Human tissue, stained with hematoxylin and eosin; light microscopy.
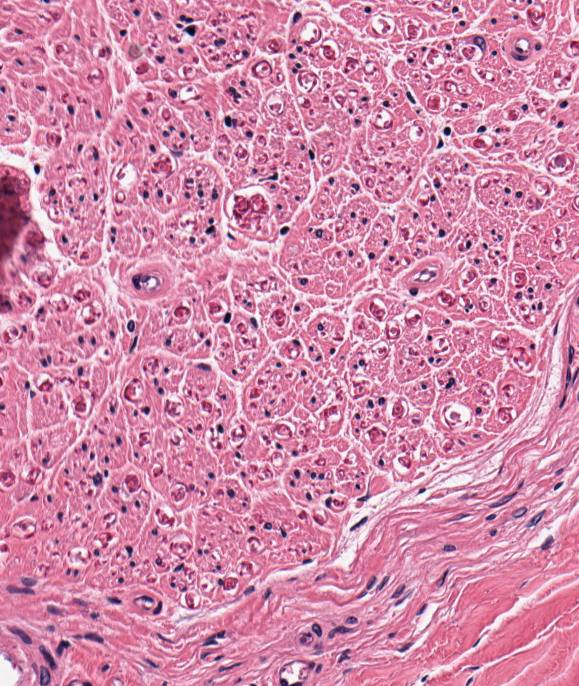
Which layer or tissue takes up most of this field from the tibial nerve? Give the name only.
nerve fascicle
